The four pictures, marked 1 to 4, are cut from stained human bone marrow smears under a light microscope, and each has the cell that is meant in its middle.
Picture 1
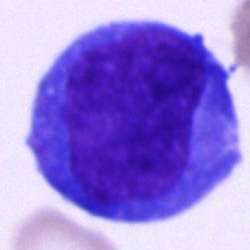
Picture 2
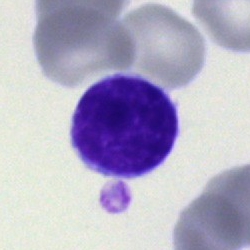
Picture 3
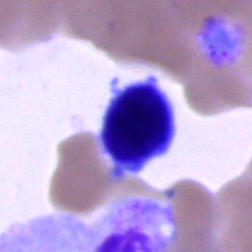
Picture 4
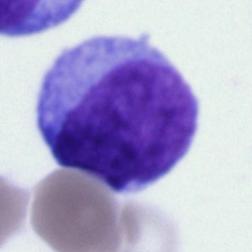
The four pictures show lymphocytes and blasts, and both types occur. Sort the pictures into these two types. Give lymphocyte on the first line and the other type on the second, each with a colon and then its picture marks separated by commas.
lymphocyte: 2, 3
blast: 1, 4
